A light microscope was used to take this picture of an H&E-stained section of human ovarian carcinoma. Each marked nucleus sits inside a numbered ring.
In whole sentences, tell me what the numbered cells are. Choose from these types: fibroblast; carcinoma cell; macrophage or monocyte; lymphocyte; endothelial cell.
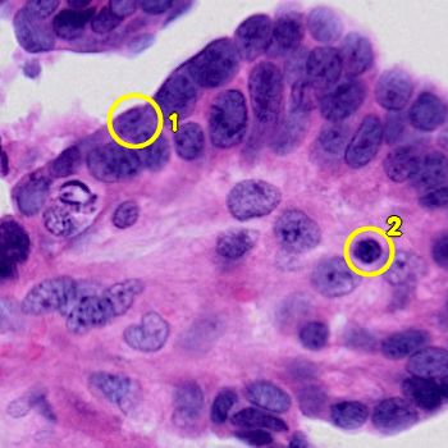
Cell 1 is a carcinoma cell. Cell 2 is a lymphocyte.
